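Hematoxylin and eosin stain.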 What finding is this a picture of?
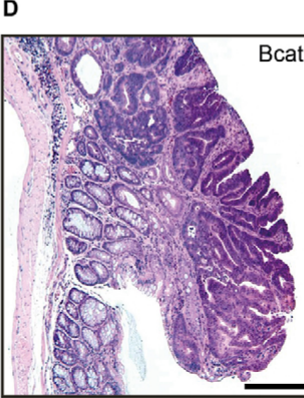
colonic adenoma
